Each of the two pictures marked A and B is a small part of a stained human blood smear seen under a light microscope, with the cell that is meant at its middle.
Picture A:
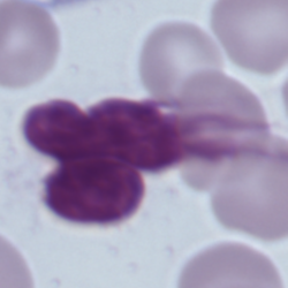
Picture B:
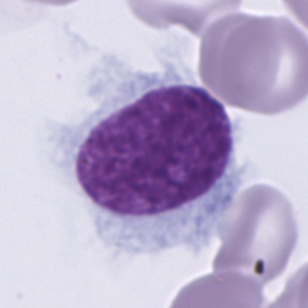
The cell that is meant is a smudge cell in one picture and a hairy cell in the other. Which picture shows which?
A: smudge cell
B: hairy cell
